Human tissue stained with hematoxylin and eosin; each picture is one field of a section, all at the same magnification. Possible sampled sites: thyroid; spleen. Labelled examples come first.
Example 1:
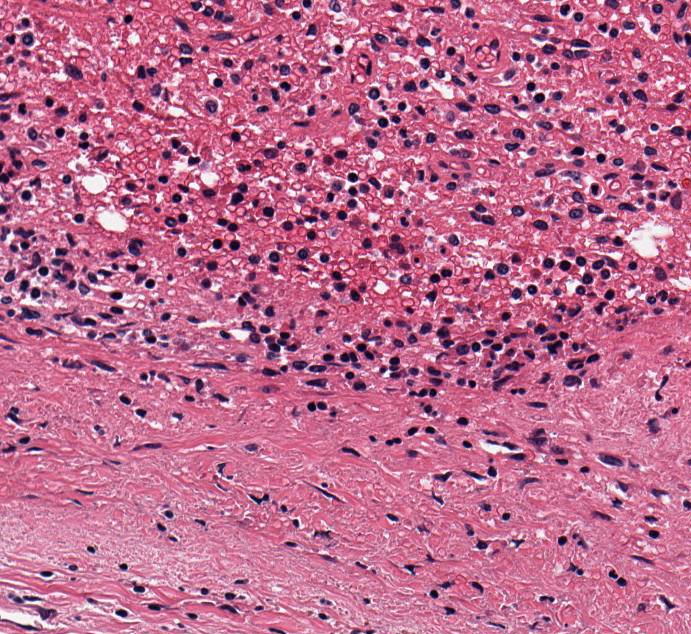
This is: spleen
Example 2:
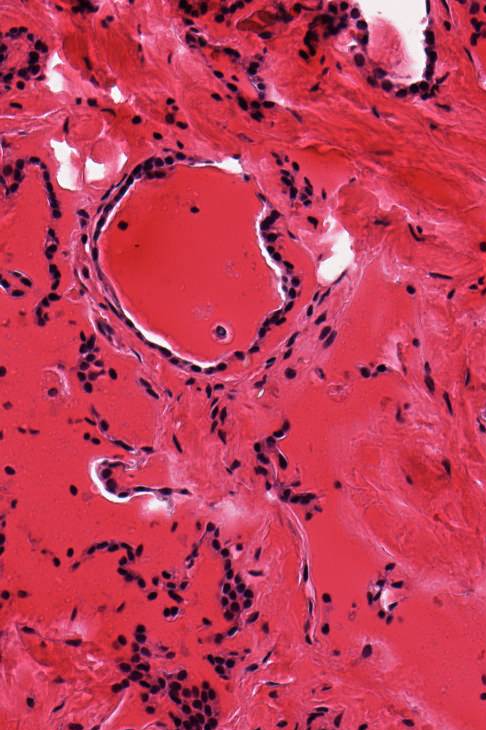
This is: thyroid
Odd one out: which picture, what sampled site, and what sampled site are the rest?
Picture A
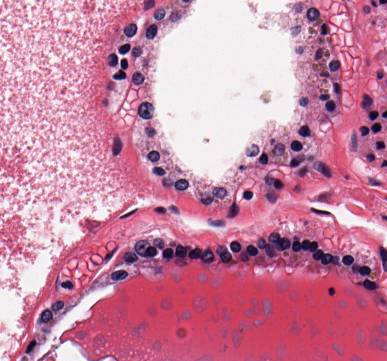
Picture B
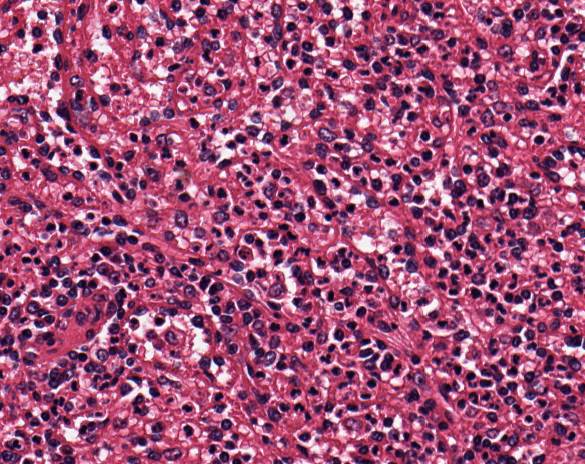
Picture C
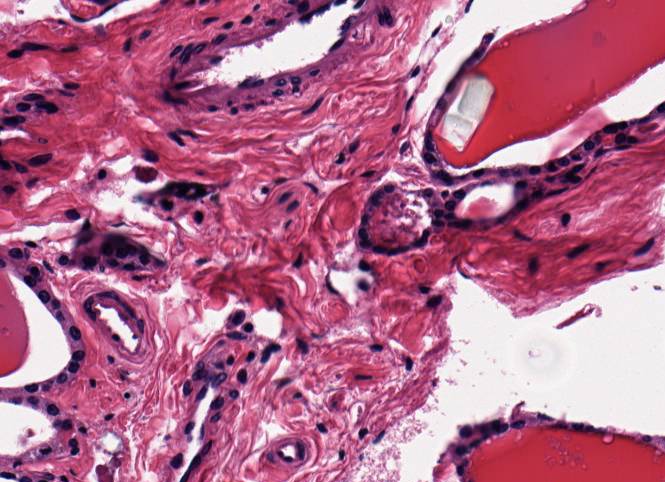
Different: B, spleen. Others: thyroid.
